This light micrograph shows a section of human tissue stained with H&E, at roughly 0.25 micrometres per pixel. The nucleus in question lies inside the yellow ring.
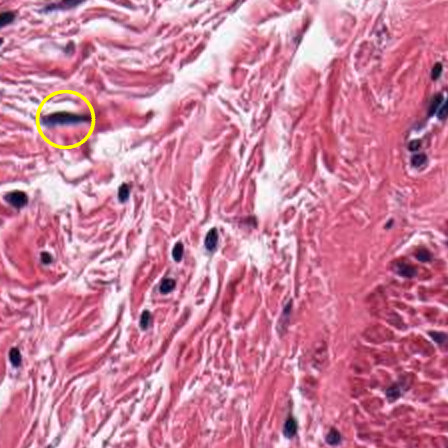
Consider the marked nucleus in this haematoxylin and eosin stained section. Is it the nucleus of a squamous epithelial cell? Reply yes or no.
no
